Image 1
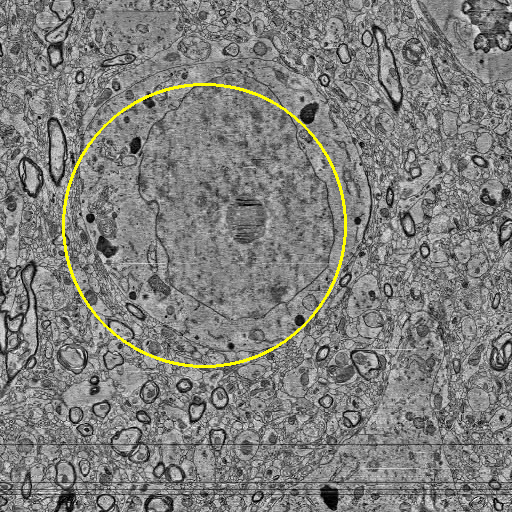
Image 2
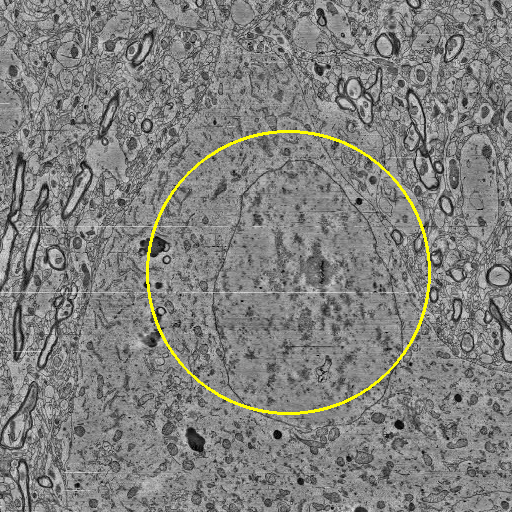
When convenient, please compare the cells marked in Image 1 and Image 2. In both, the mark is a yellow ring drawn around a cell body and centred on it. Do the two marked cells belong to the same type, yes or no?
yes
